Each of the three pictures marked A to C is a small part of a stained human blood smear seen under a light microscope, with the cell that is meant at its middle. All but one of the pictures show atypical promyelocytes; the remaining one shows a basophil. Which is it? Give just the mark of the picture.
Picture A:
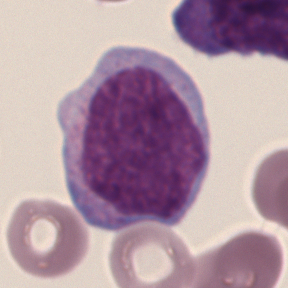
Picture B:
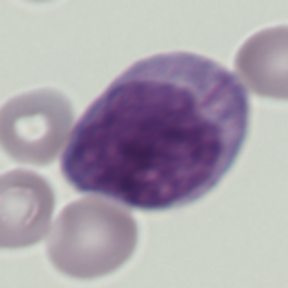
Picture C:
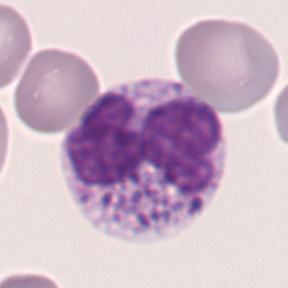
C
